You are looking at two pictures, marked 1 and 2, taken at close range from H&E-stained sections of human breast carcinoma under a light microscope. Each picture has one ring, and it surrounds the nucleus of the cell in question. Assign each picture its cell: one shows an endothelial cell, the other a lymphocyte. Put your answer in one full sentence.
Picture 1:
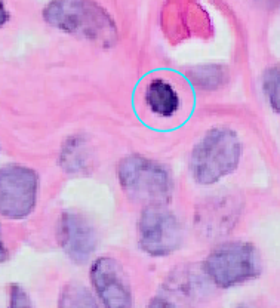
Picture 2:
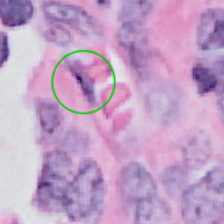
Picture 1 is of a lymphocyte, and picture 2 is of an endothelial cell.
